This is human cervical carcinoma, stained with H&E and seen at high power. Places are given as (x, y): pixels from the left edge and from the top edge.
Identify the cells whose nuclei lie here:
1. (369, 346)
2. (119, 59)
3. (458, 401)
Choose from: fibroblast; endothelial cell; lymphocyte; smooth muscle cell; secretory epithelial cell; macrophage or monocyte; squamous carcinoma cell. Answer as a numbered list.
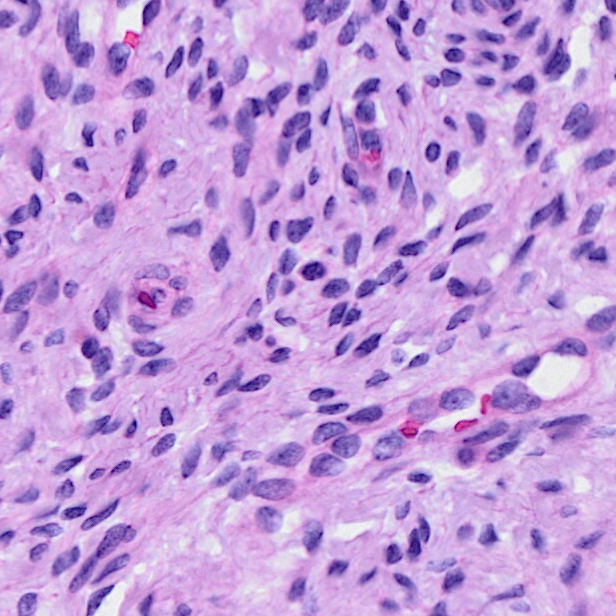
1. fibroblast
2. endothelial cell
3. endothelial cell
